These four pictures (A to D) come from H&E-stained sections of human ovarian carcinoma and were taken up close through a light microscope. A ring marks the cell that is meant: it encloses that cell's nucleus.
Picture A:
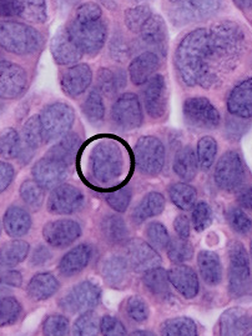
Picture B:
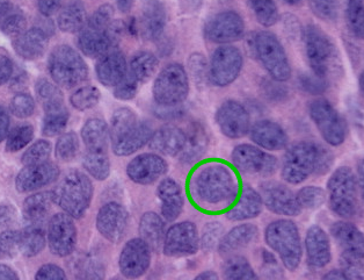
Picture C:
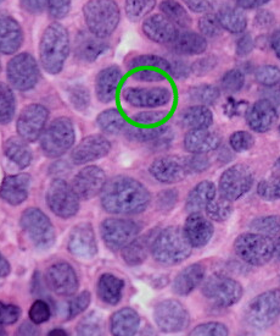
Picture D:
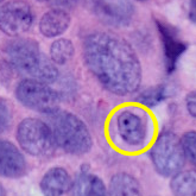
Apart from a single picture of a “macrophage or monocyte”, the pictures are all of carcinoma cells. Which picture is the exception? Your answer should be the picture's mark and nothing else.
D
